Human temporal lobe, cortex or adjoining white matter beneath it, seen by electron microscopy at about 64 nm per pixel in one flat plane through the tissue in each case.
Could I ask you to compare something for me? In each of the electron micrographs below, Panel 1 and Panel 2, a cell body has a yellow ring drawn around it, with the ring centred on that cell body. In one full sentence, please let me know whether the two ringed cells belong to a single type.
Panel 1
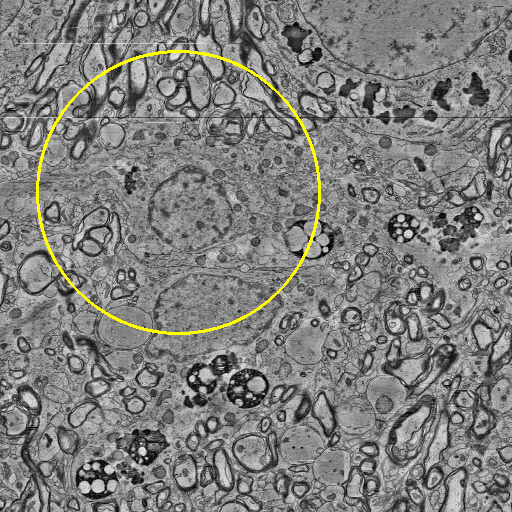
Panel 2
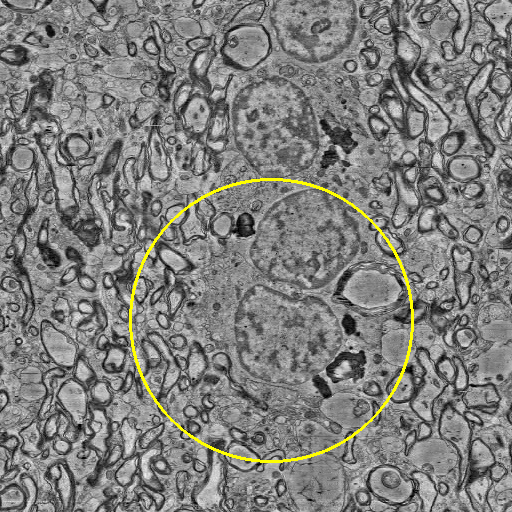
No, the two cells at the centres of the rings are of two types.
